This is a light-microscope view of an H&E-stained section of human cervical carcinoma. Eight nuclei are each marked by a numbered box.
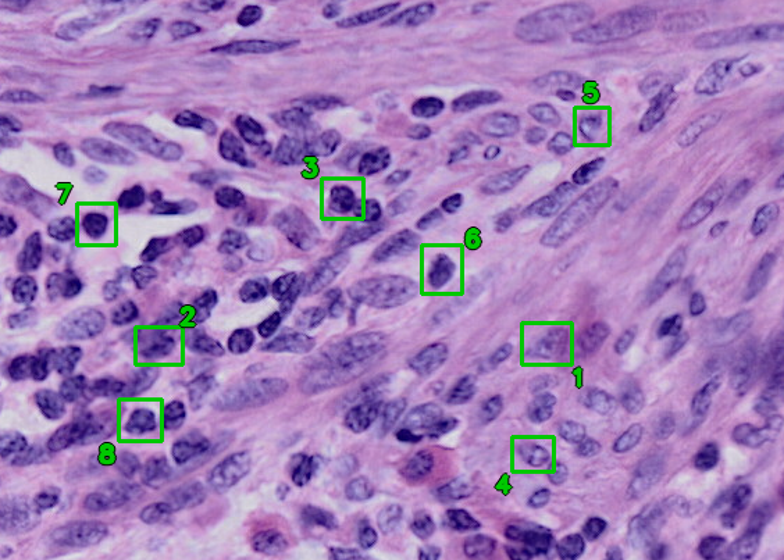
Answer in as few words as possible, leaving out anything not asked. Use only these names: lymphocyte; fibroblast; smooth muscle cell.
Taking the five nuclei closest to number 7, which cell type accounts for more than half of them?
lymphocyte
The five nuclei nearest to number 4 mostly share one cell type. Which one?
smooth muscle cell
